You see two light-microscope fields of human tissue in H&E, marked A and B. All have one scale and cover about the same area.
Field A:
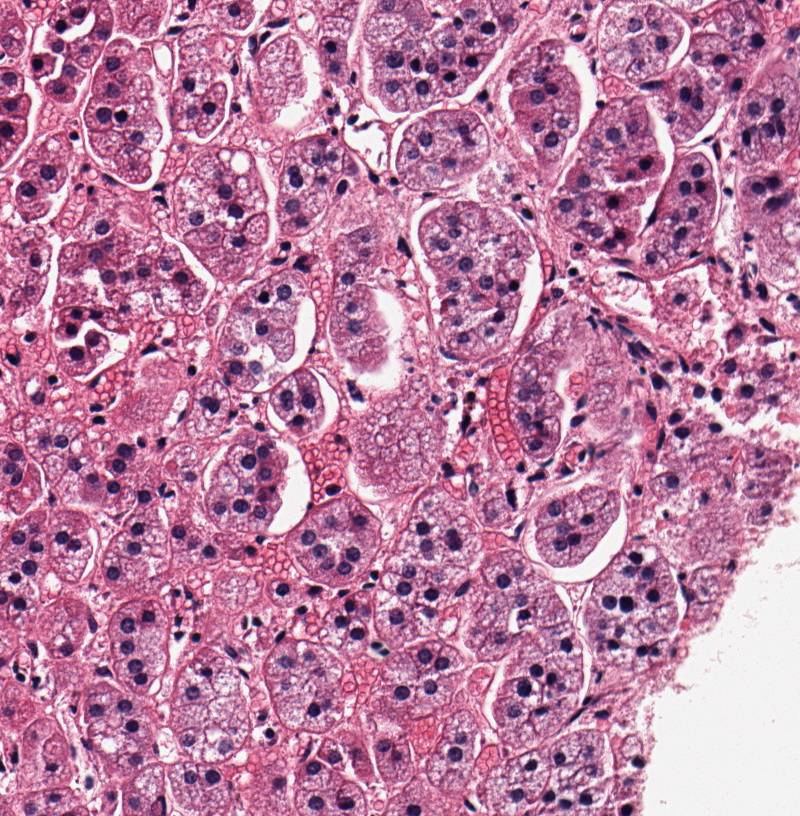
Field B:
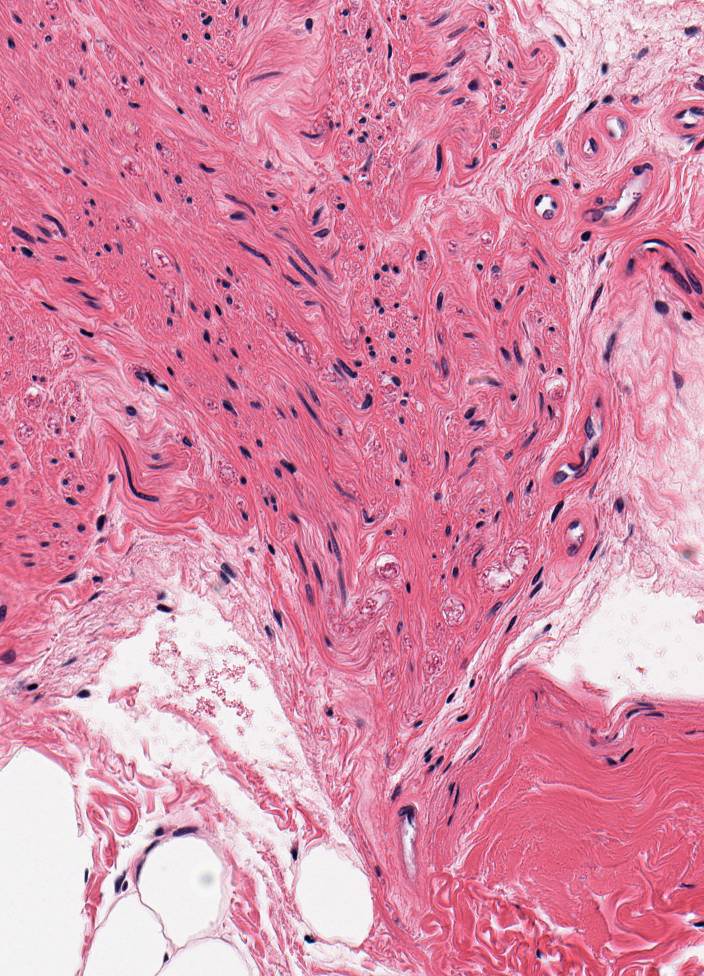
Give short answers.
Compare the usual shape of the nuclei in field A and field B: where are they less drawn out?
A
